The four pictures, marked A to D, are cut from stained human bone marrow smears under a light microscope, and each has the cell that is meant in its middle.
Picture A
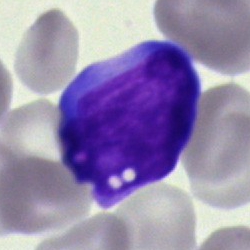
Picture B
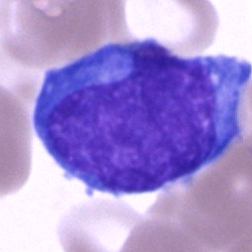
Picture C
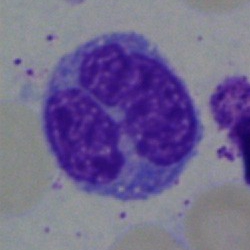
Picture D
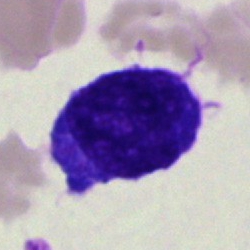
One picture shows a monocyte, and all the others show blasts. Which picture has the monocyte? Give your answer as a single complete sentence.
The picture with the monocyte is C.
